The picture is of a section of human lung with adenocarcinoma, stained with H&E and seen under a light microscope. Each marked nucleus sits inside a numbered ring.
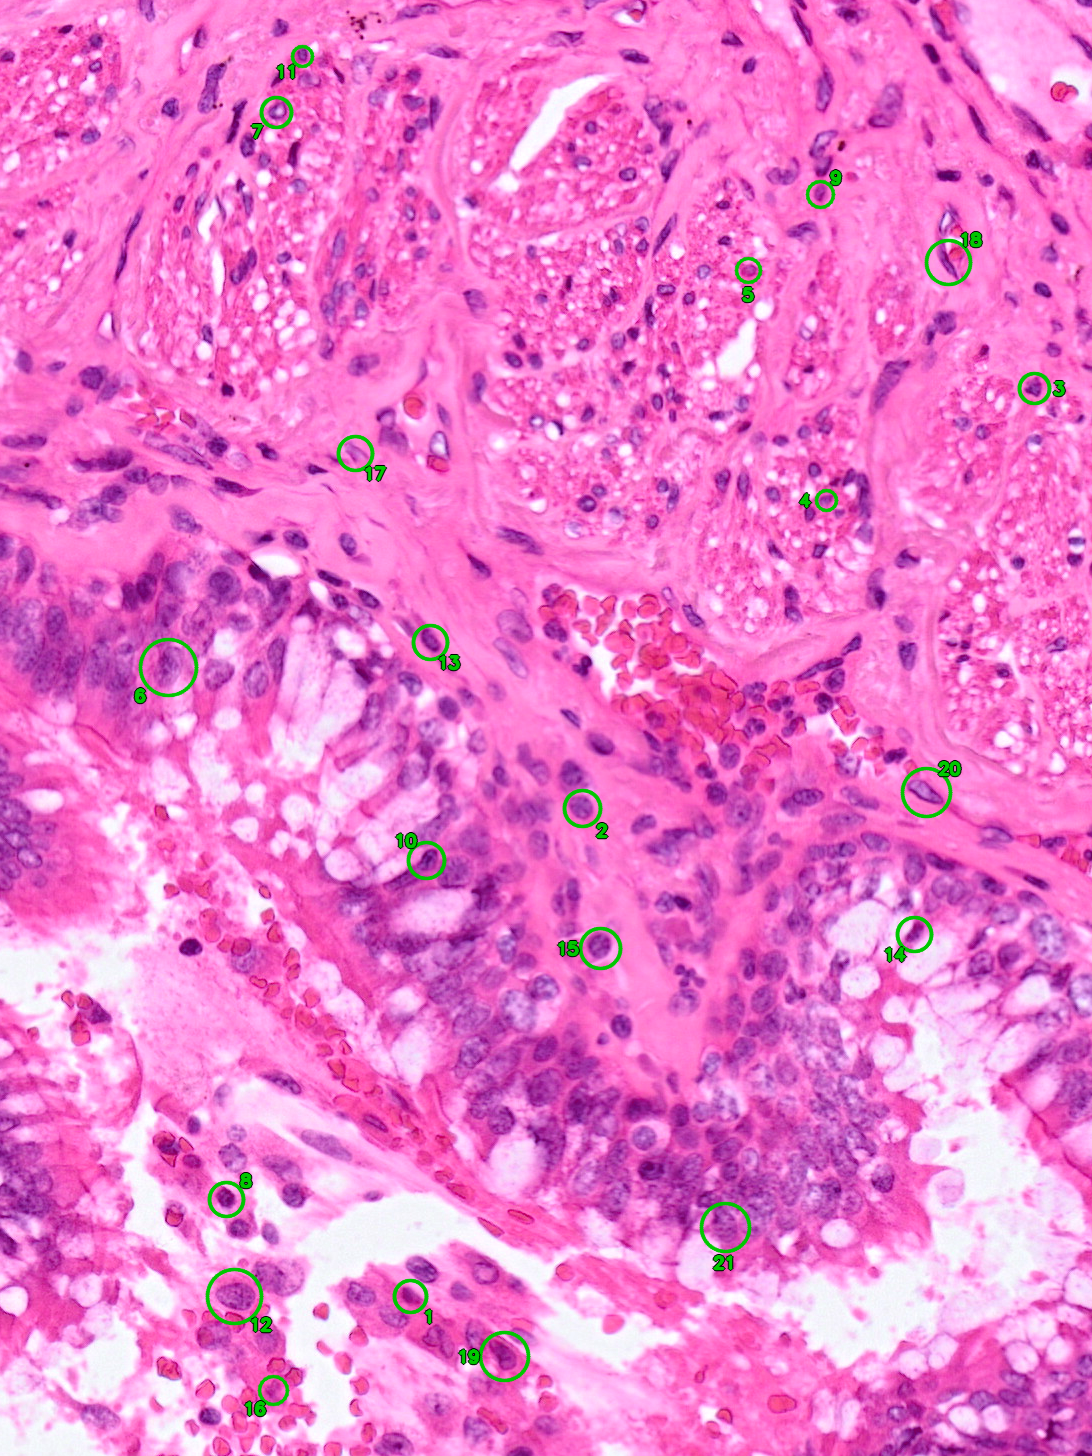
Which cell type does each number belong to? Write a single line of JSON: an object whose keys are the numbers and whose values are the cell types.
{"1": "macrophage or monocyte", "2": "mast cell", "3": "mast cell", "4": "smooth muscle cell or pericyte", "5": "smooth muscle cell or pericyte", "6": "ciliated epithelial cell", "7": "smooth muscle cell or pericyte", "8": "lymphocyte", "9": "mast cell", "10": "ciliated epithelial cell", "11": "smooth muscle cell or pericyte", "12": "macrophage or monocyte", "13": "plasma cell", "14": "ciliated epithelial cell", "15": "plasma cell", "16": "macrophage or monocyte", "17": "fibroblast", "18": "endothelial cell", "19": "macrophage or monocyte", "20": "endothelial cell", "21": "ciliated epithelial cell"}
